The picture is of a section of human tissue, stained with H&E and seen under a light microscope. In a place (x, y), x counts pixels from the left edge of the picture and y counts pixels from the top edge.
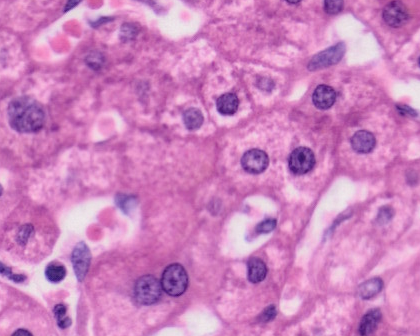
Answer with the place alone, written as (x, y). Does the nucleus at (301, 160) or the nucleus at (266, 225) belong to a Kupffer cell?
(266, 225)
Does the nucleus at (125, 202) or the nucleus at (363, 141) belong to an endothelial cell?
(125, 202)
